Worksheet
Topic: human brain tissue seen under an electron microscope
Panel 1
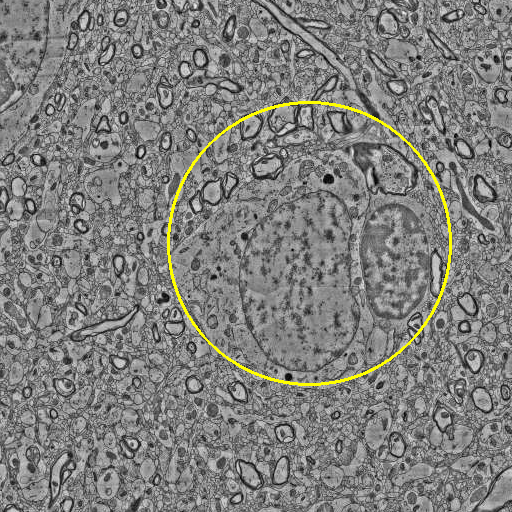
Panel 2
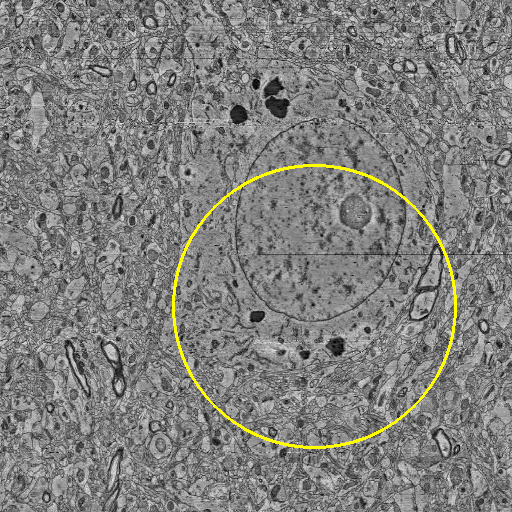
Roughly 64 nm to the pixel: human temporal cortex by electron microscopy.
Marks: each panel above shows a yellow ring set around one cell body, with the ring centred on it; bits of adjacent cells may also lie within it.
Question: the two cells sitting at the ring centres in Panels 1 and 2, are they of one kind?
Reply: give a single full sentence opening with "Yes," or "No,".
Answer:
Yes, the two ring-centre cells in Panel 1 and Panel 2 are of one kind.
